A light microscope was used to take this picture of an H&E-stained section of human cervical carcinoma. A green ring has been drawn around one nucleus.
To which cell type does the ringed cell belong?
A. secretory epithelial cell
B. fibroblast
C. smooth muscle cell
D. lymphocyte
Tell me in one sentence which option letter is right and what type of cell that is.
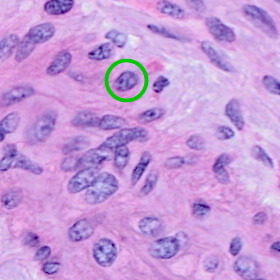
Option C is the one that fits, as the ringed cell is a smooth muscle cell.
